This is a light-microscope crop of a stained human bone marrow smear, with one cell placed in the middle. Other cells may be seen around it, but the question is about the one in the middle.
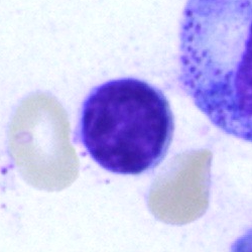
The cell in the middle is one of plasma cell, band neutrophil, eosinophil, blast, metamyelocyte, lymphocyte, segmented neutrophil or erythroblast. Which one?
lymphocyte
